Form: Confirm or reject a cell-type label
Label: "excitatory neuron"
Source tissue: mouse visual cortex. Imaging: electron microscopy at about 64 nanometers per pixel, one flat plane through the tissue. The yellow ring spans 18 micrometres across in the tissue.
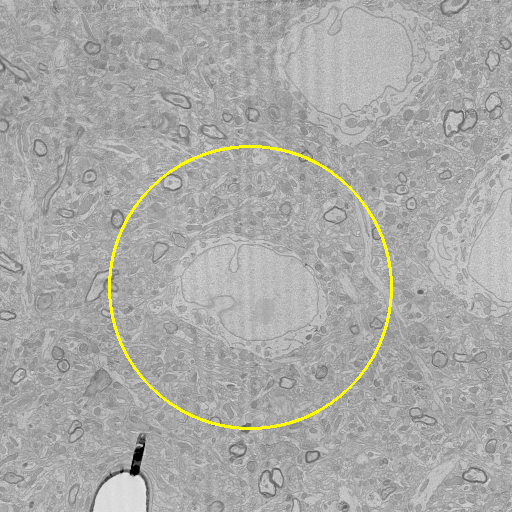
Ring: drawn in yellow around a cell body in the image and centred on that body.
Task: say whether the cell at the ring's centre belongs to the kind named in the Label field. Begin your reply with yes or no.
Yes, it belongs to that kind.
